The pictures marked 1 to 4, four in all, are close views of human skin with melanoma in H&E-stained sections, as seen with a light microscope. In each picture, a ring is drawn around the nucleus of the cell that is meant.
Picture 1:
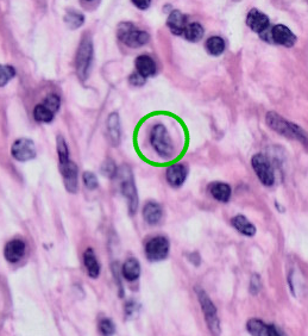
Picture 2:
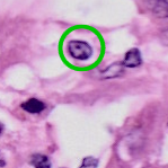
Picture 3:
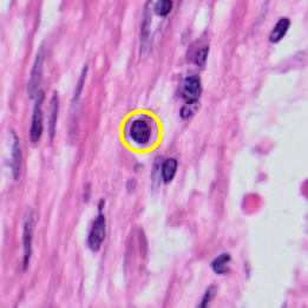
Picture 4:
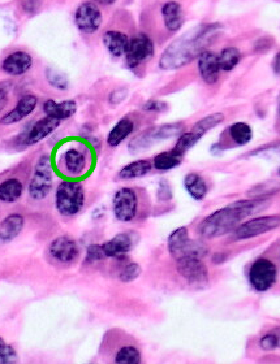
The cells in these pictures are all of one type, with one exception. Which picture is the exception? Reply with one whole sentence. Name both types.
Picture 2 is the odd one out: it shows a lymphocyte, while the others show plasma cells.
